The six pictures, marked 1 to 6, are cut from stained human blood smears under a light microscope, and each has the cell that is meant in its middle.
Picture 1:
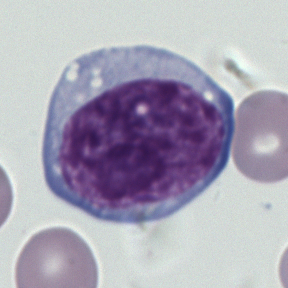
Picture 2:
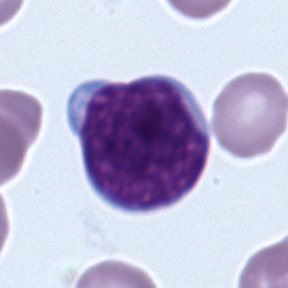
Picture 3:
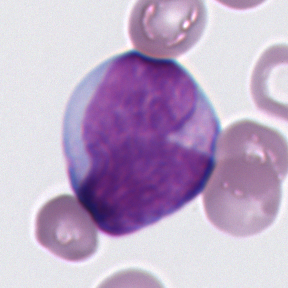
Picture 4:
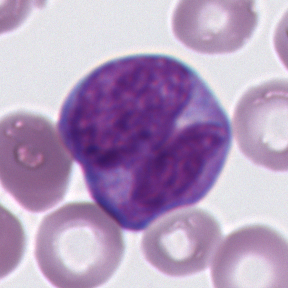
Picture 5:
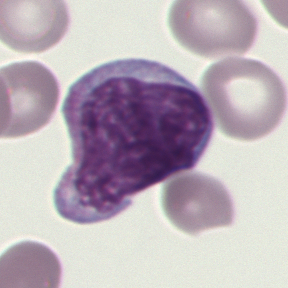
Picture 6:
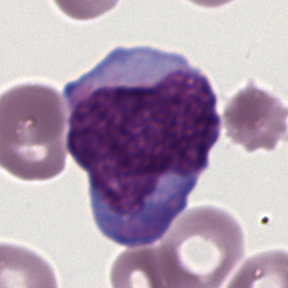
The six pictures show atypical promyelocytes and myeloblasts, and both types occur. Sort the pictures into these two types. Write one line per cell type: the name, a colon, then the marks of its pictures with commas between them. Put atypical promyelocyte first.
atypical promyelocyte: 3, 4, 5, 6
myeloblast: 1, 2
